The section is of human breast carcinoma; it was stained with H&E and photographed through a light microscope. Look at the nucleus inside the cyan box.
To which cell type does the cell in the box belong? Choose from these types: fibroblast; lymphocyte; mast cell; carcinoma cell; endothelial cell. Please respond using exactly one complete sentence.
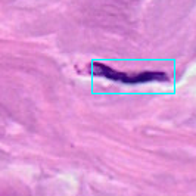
It is as a fibroblast that the cell in the box is recorded.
